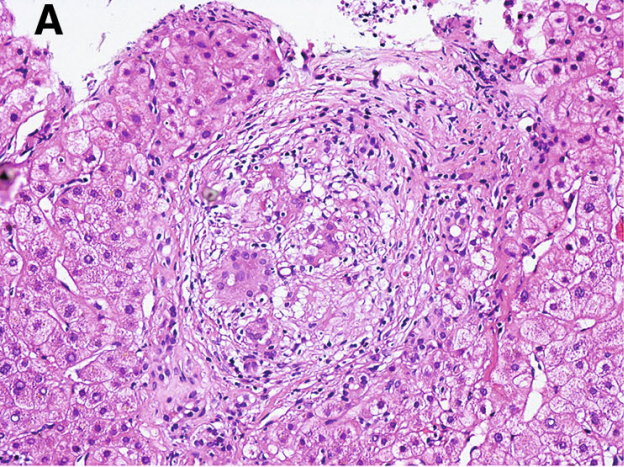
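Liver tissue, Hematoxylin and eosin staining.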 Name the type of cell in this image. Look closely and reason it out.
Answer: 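A large cell with several nuclei and pink cytoplasm lies at the centre of the nodule. It is surrounded by pale, elongated-nucleus epithelioid cells. On this evidence: giant cells.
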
